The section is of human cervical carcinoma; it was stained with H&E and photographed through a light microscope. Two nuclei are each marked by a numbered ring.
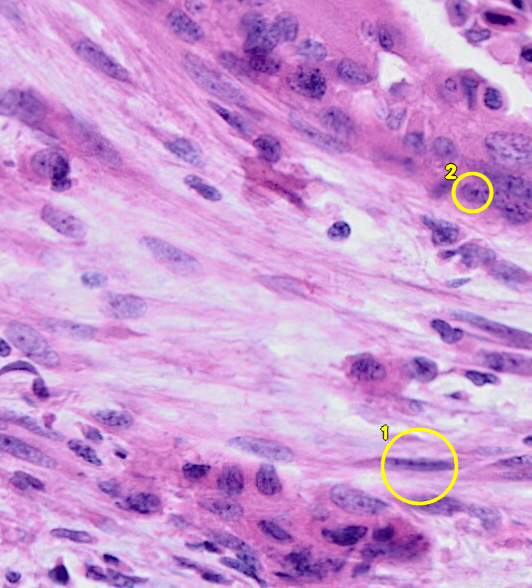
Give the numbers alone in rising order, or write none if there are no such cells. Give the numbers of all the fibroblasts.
1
